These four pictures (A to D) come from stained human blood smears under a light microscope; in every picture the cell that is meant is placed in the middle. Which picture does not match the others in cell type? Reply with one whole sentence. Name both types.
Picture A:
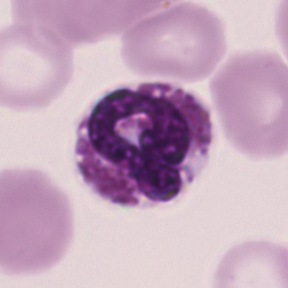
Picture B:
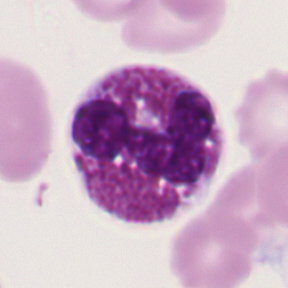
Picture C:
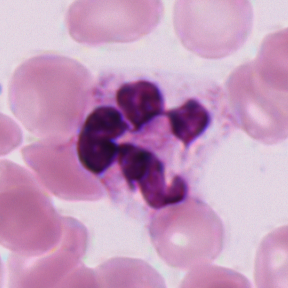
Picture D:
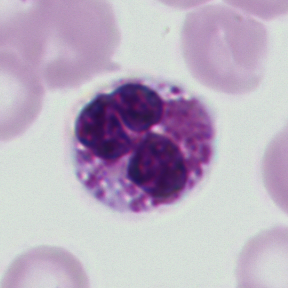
Unlike the rest, which show eosinophils, picture C shows a segmented neutrophil.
